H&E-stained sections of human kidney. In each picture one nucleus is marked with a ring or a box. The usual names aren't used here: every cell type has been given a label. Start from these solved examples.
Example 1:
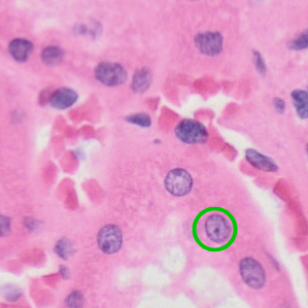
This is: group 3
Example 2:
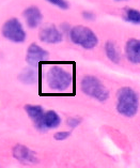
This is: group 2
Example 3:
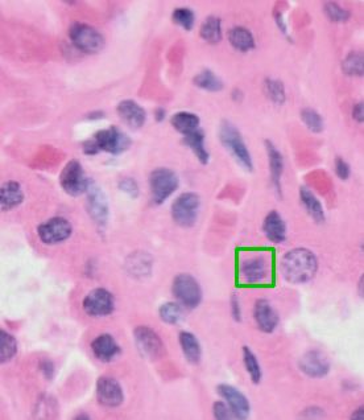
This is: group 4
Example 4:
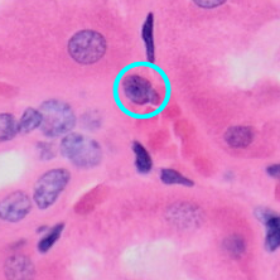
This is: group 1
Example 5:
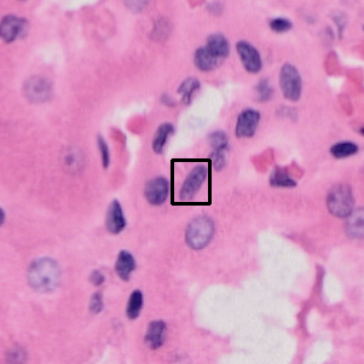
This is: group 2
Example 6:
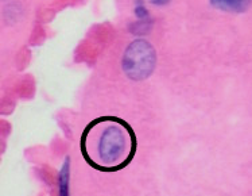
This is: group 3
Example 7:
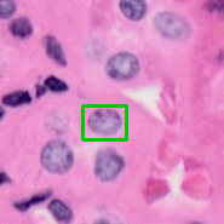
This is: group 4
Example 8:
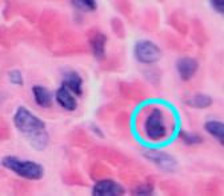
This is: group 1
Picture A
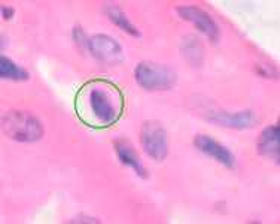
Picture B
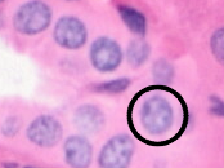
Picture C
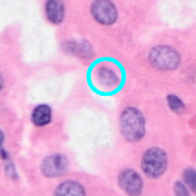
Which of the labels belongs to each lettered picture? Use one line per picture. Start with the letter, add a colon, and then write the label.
A: group 1
B: group 2
C: group 4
